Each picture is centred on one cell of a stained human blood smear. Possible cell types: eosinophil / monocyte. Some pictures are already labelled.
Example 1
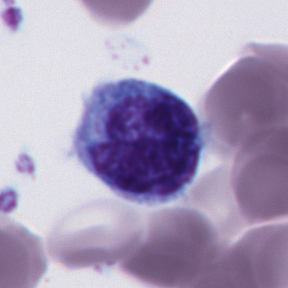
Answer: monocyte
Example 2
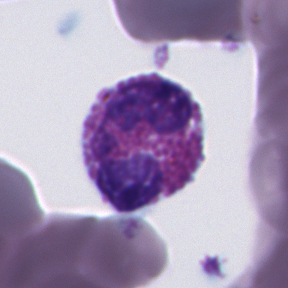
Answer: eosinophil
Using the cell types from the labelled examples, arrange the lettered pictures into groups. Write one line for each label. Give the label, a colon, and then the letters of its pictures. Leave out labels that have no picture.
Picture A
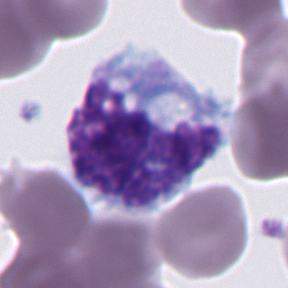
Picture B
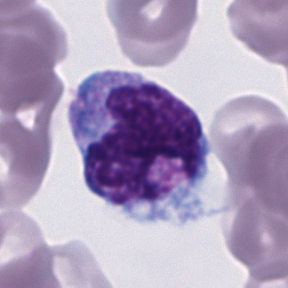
monocyte: A, B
